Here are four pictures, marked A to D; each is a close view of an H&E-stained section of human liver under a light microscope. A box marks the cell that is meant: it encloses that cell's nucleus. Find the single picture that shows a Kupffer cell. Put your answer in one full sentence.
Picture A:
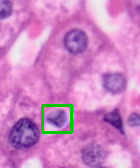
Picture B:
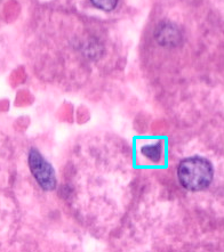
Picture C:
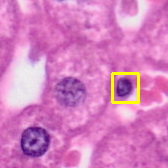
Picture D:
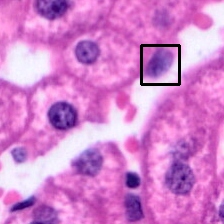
The Kupffer cell is the one in picture C.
